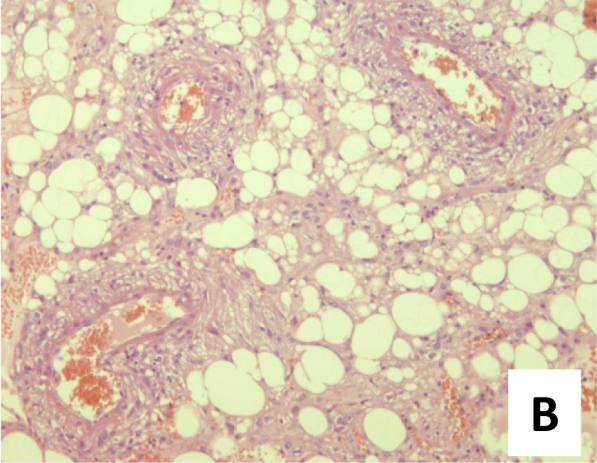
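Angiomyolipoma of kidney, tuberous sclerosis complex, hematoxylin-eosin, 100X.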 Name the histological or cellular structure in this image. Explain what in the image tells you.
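Several lumens filled with red blood cells. Each lumen surrounded by a cuff of pink spindle cells. The answer: small and medium-sized blood vessels.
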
